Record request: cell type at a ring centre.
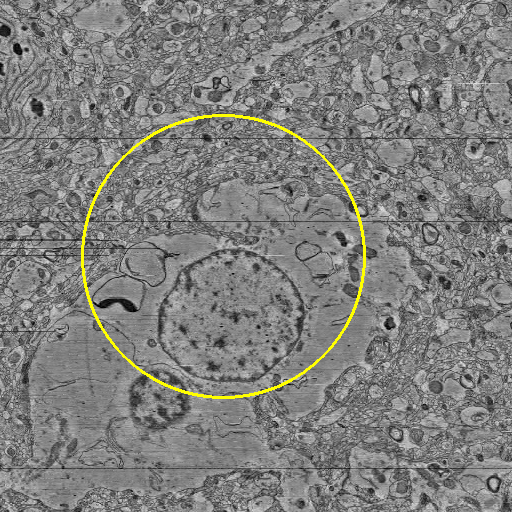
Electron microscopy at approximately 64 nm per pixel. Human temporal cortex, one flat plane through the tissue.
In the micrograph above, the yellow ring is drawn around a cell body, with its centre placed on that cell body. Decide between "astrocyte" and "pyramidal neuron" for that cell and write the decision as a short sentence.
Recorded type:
The cell centred in the yellow ring is an astrocyte.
